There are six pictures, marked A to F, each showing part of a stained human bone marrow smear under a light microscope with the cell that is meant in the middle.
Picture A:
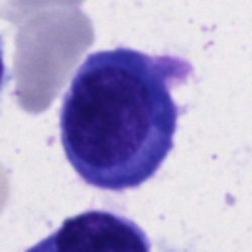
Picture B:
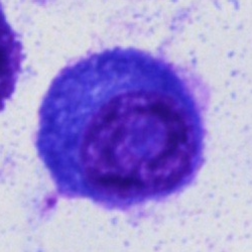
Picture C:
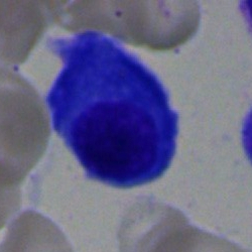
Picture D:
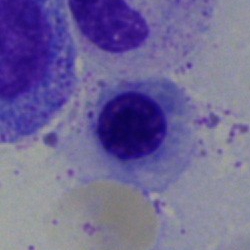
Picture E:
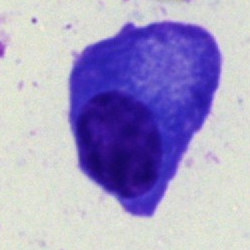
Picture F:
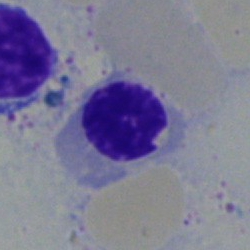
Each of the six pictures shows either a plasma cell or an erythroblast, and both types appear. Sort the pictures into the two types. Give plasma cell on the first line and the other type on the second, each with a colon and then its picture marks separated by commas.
plasma cell: A, B, C, E
erythroblast: D, F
